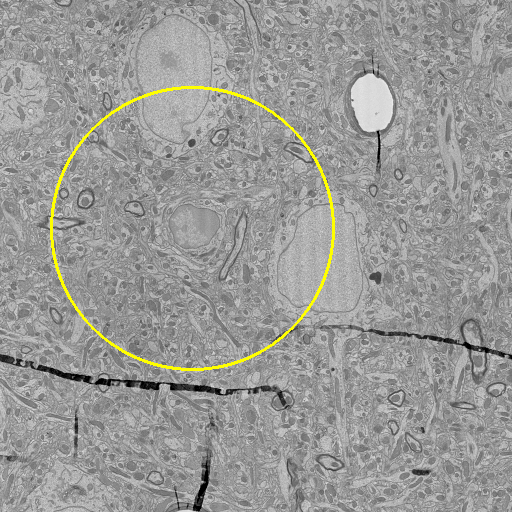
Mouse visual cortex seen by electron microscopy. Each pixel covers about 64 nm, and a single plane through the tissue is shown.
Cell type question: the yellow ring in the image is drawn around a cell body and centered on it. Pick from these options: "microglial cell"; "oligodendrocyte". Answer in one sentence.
The ringed cell at the center is a microglial cell.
